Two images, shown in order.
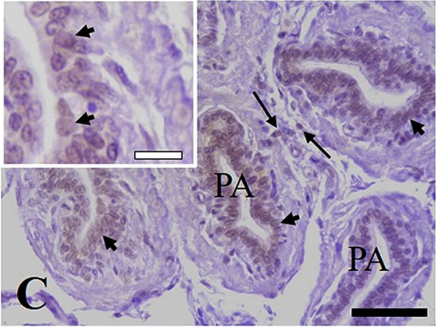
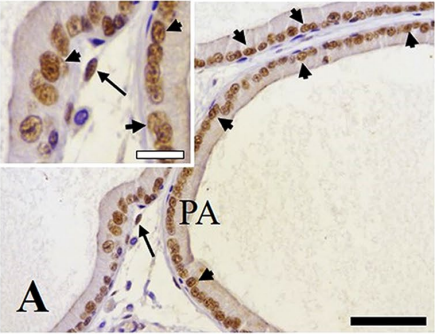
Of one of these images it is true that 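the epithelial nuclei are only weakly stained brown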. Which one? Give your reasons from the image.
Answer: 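First image: epithelial nuclei are pale, mostly purple with faint brown. Second image: epithelial nuclei are deep brown. So: the first image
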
